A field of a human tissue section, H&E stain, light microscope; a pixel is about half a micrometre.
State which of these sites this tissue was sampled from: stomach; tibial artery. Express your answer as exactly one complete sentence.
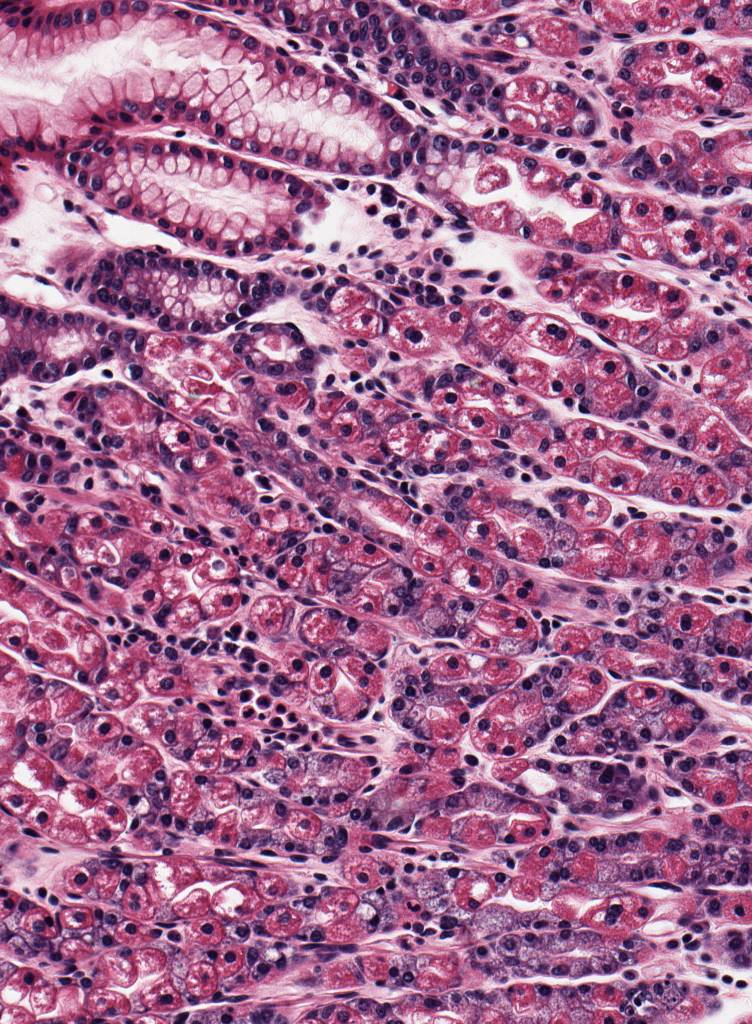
This piece of tissue was sampled from the stomach.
